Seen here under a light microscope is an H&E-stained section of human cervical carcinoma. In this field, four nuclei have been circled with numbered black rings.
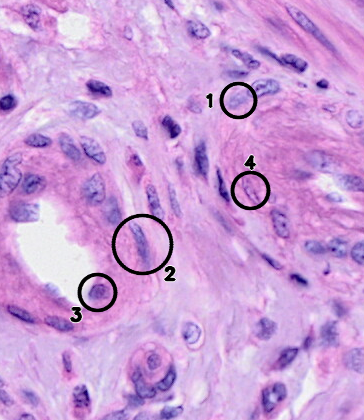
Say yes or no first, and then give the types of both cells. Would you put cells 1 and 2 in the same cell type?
Yes, cells 1 and 2 both qualify as smooth muscle cells.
